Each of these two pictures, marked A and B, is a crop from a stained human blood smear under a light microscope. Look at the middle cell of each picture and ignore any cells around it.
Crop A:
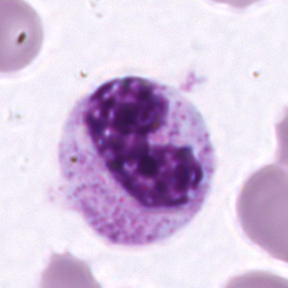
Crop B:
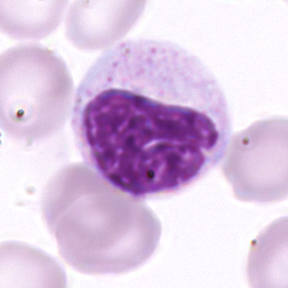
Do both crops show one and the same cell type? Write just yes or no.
yes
